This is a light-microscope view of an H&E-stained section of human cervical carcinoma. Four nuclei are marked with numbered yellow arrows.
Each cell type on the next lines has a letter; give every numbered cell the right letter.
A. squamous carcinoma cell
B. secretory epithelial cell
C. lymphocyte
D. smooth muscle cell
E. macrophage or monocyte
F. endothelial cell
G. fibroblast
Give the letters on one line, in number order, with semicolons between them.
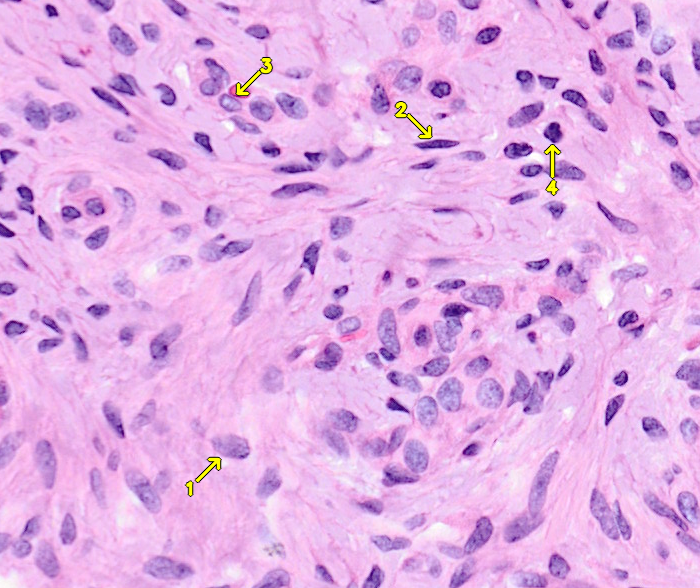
G; G; F; C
